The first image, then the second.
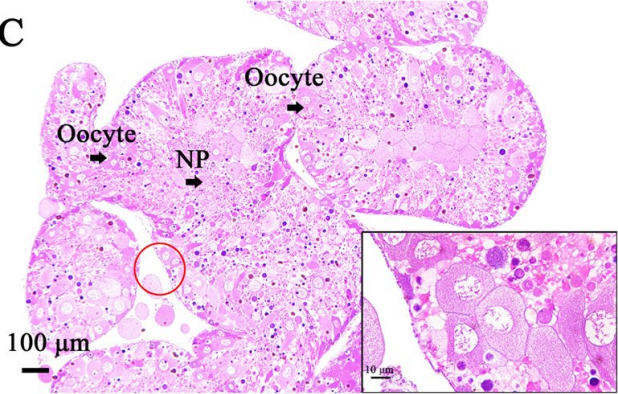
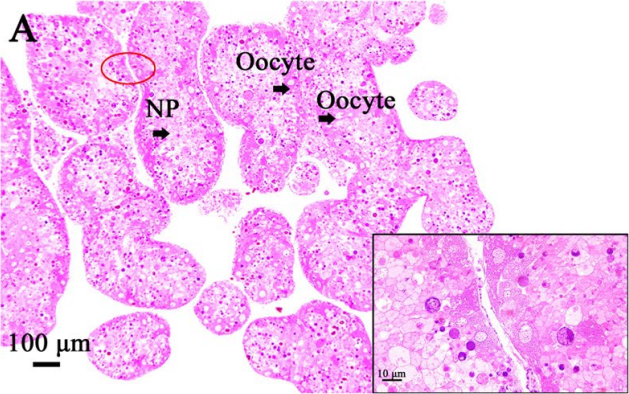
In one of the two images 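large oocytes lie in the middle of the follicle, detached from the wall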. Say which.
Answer: the first image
